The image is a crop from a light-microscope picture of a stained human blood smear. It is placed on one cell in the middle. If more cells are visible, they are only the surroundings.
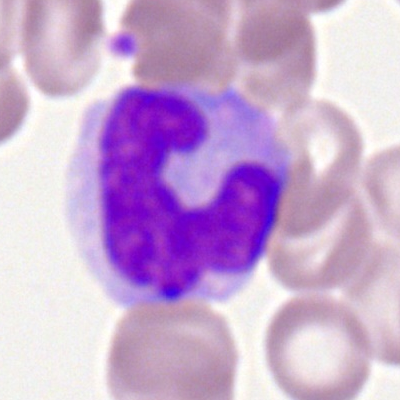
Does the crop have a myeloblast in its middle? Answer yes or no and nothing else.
no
